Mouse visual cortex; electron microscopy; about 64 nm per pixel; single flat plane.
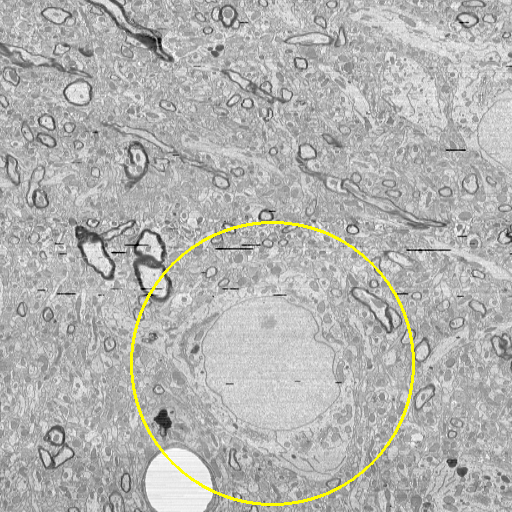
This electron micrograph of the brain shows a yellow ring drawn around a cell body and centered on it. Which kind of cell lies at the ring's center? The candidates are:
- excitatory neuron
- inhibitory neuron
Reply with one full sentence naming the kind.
The cell lying at the ring's center in this micrograph is an excitatory neuron.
